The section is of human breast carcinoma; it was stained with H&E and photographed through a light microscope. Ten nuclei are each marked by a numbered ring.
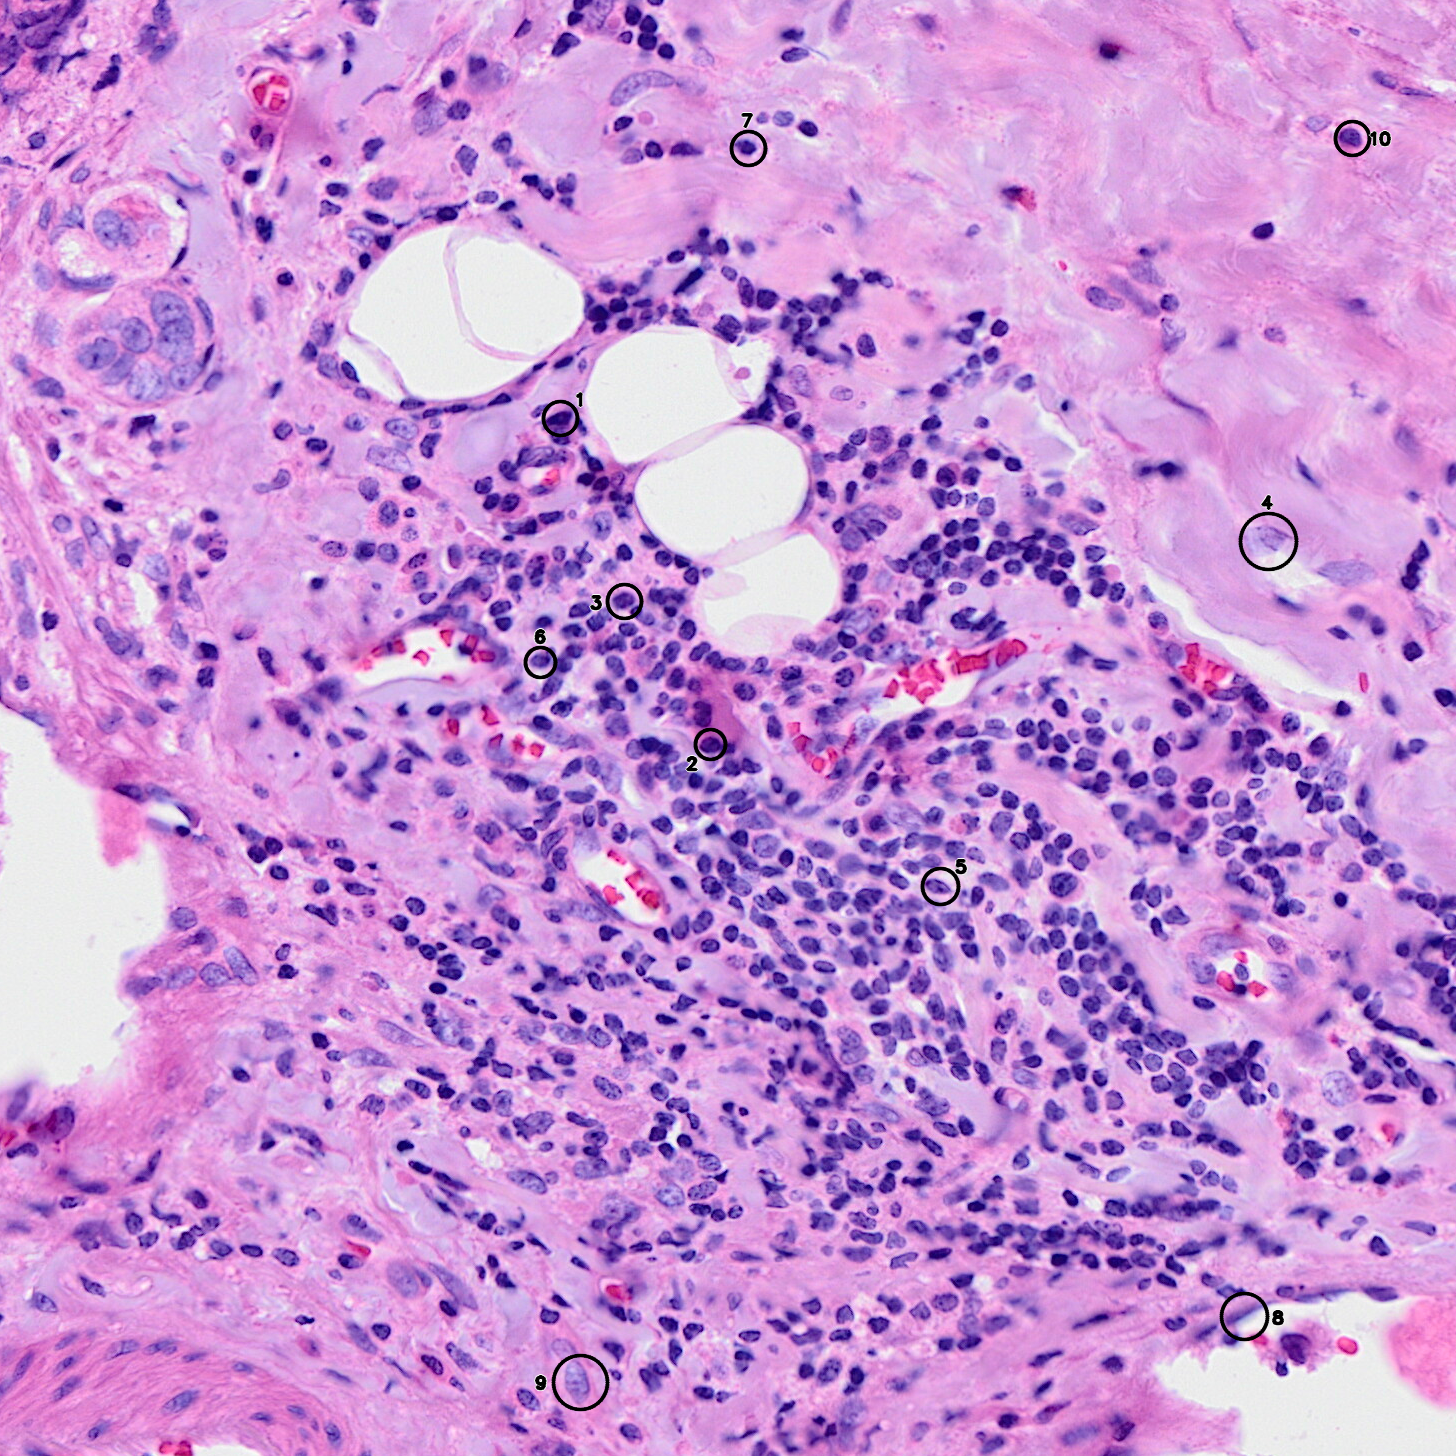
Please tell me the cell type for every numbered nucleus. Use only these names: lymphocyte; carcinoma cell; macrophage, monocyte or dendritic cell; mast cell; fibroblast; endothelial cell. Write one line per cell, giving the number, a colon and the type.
1: lymphocyte
2: lymphocyte
3: lymphocyte
4: fibroblast
5: lymphocyte
6: lymphocyte
7: lymphocyte
8: endothelial cell
9: endothelial cell
10: mast cell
